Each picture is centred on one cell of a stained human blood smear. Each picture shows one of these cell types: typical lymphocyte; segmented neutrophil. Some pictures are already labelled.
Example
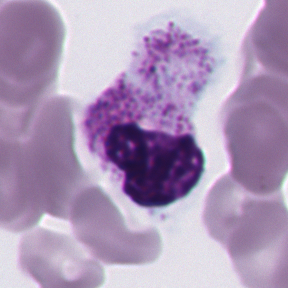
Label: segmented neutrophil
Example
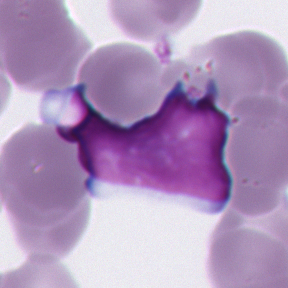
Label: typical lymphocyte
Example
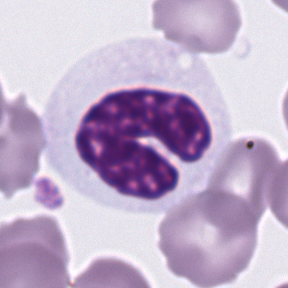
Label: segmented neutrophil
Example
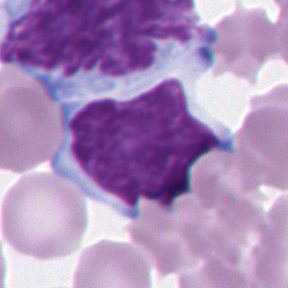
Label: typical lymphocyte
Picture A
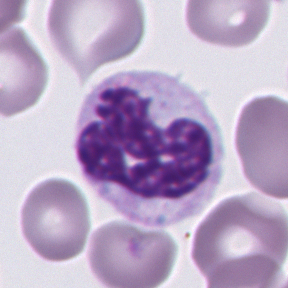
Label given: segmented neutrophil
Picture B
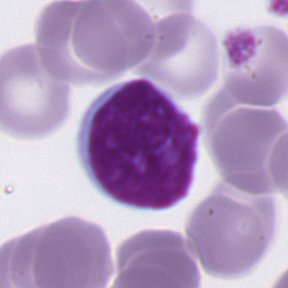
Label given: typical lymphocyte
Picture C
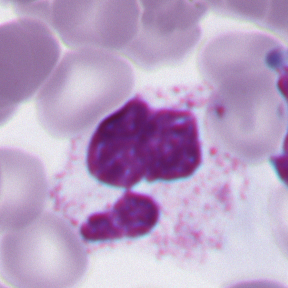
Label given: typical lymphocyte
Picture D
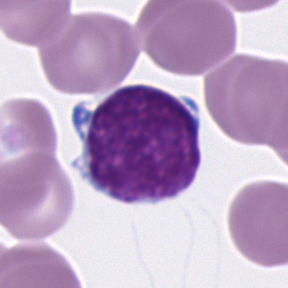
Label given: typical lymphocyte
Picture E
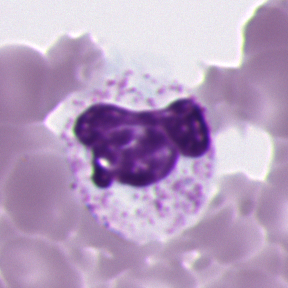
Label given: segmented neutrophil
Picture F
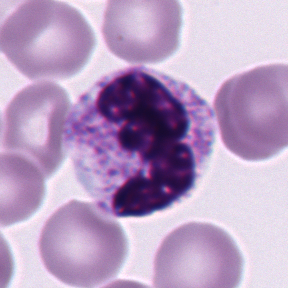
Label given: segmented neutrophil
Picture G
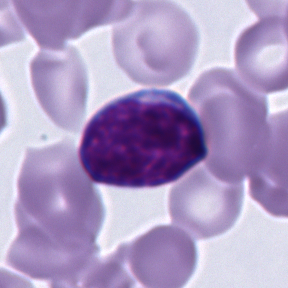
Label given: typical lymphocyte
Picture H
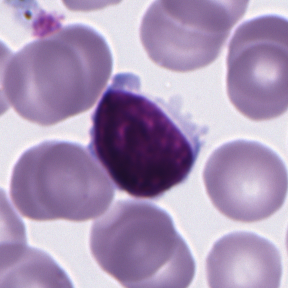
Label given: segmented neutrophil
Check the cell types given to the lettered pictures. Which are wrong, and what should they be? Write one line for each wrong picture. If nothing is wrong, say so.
Wrong: C (typical lymphocyte); correct: segmented neutrophil
Wrong: H (segmented neutrophil); correct: typical lymphocyte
